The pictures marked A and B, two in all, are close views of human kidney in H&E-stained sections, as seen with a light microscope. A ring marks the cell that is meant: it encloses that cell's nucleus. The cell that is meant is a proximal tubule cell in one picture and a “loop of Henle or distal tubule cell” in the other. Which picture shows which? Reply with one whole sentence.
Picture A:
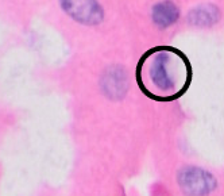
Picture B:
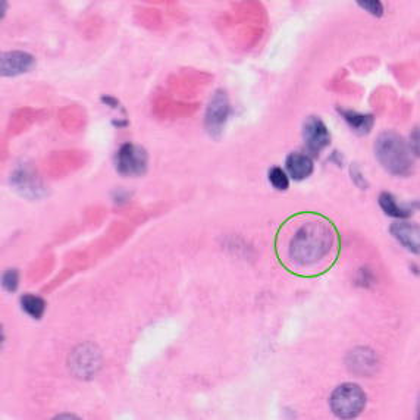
The cell in picture A is a “loop of Henle or distal tubule cell”, and the one in picture B is a proximal tubule cell.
